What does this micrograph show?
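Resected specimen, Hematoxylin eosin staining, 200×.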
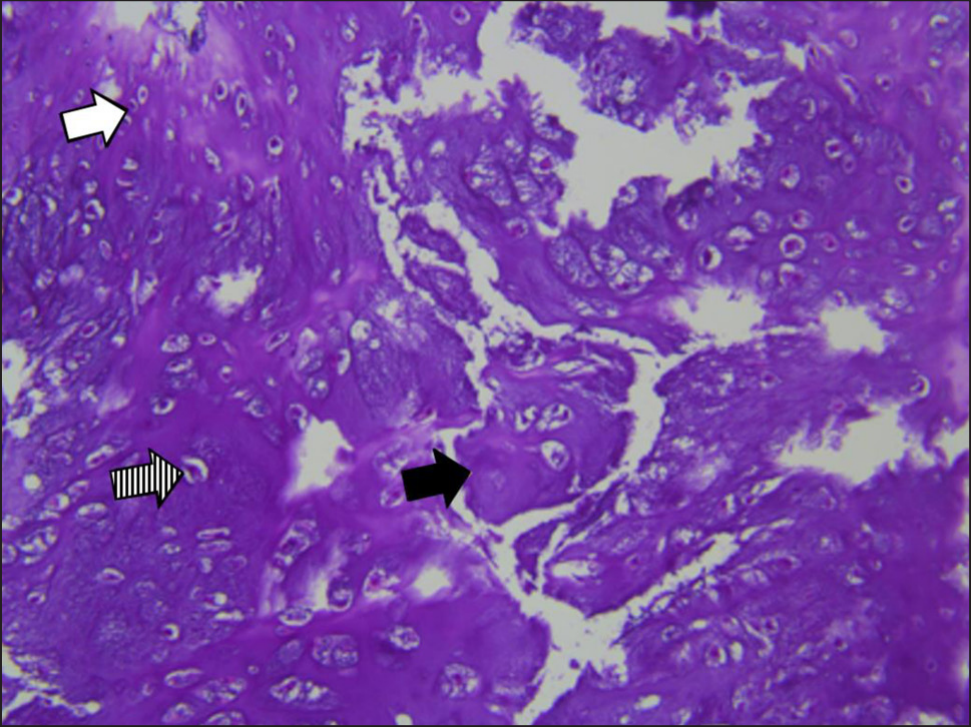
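This is cartilaginous tissue with a moderate number of chondrocytes spread through an abundant purple chondroid matrix. Most cells are small and rounded. They sit singly or in small clusters inside clear, halo-like spaces in the matrix. A few cells are somewhat larger. The matrix is smooth and glassy in places and more finely stringy in others. Irregular white clefts run through the section, most likely tears from cutting.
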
